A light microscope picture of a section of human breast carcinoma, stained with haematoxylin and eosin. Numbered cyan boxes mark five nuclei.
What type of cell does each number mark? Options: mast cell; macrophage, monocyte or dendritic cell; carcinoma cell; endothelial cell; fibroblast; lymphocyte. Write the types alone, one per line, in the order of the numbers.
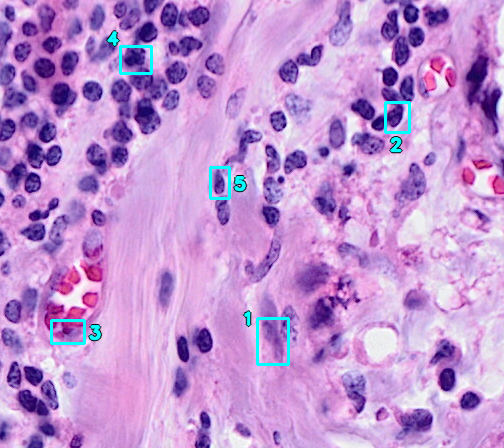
fibroblast
lymphocyte
endothelial cell
lymphocyte
lymphocyte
